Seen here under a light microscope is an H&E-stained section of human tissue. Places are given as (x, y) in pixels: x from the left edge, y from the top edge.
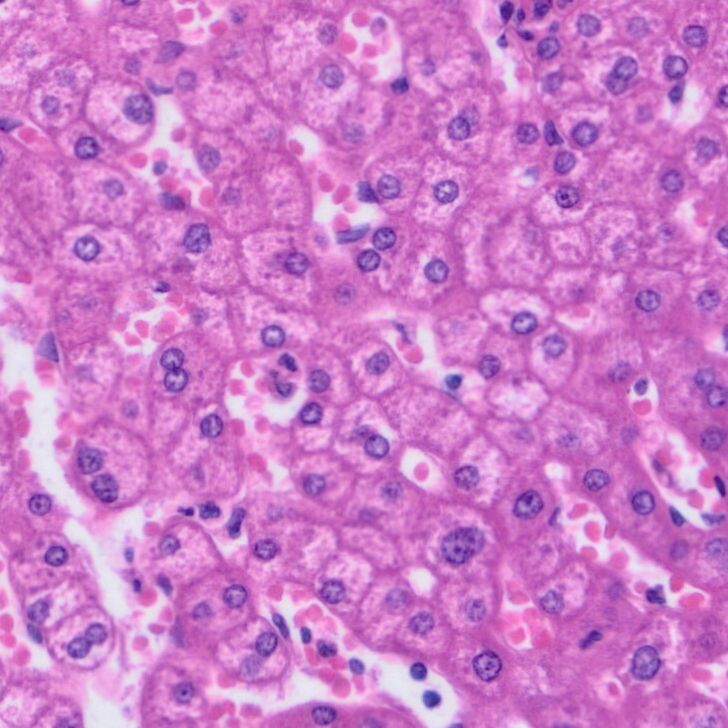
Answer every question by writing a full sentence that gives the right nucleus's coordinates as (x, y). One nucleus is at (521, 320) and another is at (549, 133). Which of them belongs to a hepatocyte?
The nucleus belonging to a hepatocyte is the one at (521, 320).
